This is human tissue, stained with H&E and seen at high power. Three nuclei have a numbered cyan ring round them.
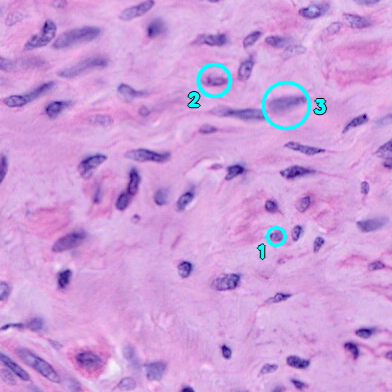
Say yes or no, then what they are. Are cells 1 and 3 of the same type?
No, that does not hold; cell 1 is a smooth muscle cell and cell 3 is a fibroblast.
